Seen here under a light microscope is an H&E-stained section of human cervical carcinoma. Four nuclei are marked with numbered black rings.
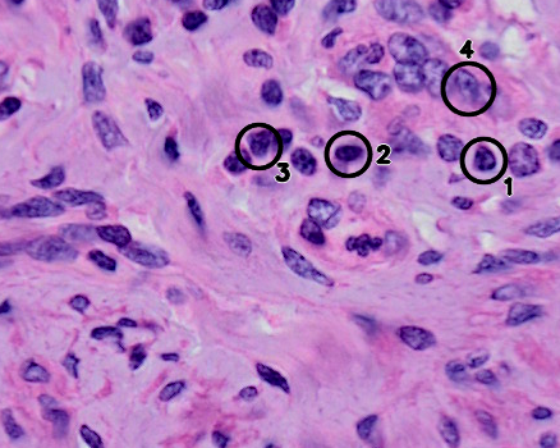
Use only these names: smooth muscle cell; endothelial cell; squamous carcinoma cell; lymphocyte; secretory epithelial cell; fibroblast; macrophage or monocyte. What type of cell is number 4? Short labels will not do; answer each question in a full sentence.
In this section, the cell numbered 4 is an endothelial cell.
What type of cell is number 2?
Classified as a lymphocyte is the cell with the number 2.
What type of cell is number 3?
Cell 3 of the marked set is a lymphocyte.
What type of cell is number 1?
The cell marked with number 1 is a lymphocyte.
